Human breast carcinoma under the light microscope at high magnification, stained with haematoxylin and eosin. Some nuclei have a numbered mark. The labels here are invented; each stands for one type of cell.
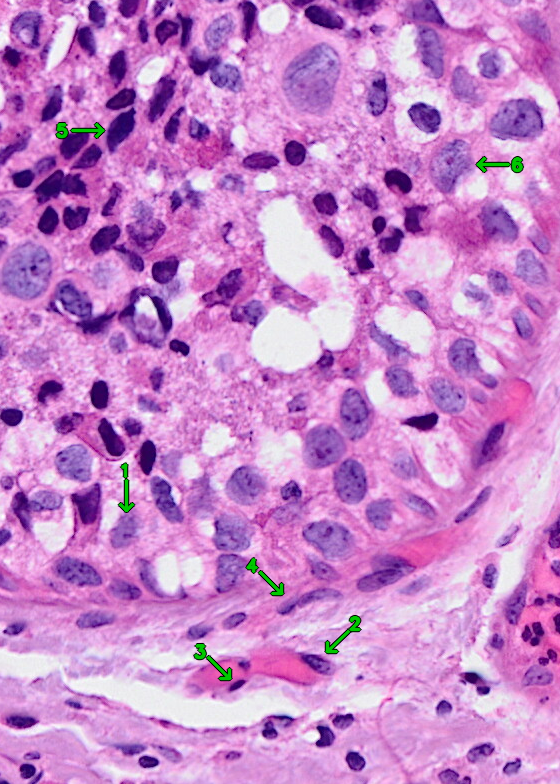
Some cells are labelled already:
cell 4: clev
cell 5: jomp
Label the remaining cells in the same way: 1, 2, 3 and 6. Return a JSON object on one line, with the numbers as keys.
{"1": "jomp", "2": "clev", "3": "clev", "6": "jomp"}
